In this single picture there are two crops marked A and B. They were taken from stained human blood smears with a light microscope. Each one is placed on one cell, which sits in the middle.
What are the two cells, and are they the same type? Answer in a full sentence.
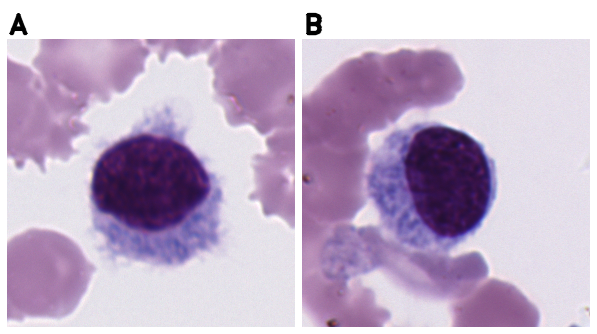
Yes, the cells at the centre of the two crops are both hairy cells.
